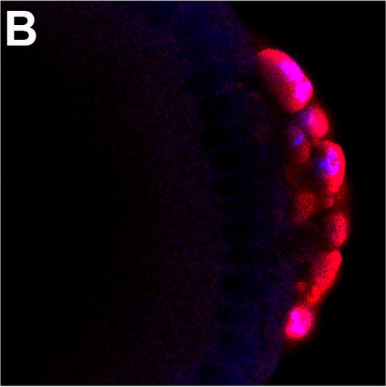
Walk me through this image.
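At the edge of a curved embryo a cluster of large, rounded red cells bulges outward, several stacked against one another along the surface. A few compact bright blue spots lie within or beside these red cells, resembling condensed chromatin. The interior of the embryo is dark with only faint red background. The picture fits pole cells gathered at the embryo surface, some of them in mitosis.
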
